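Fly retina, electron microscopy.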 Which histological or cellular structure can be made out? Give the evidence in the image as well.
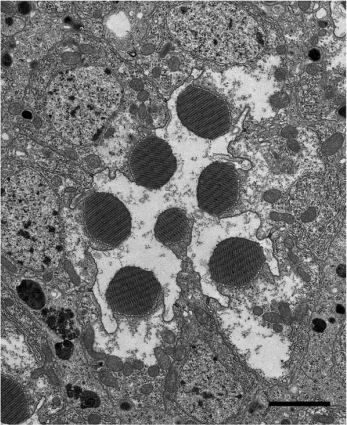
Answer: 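Ommatidia. Dark, finely striated round profiles arranged around a pale central space. Surrounding cytoplasm contains mitochondria and dark granules.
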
